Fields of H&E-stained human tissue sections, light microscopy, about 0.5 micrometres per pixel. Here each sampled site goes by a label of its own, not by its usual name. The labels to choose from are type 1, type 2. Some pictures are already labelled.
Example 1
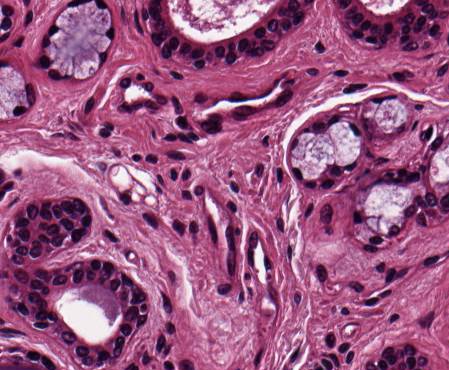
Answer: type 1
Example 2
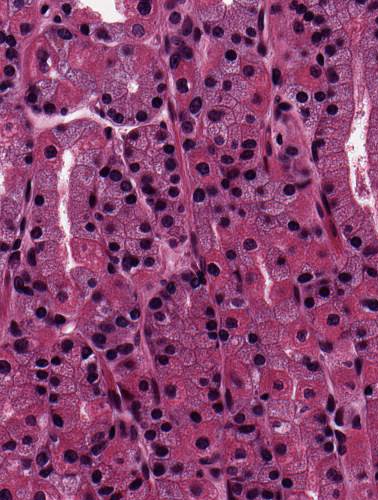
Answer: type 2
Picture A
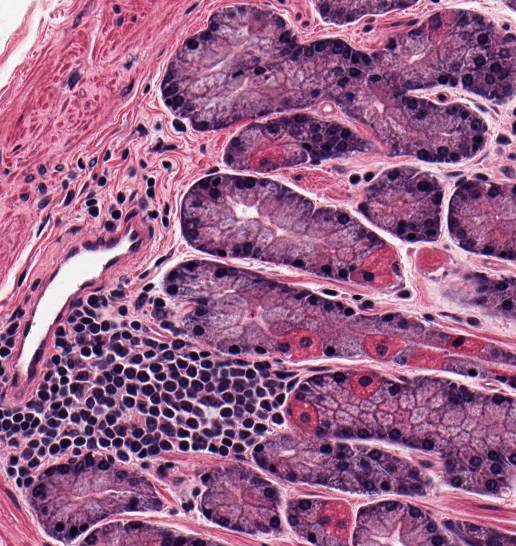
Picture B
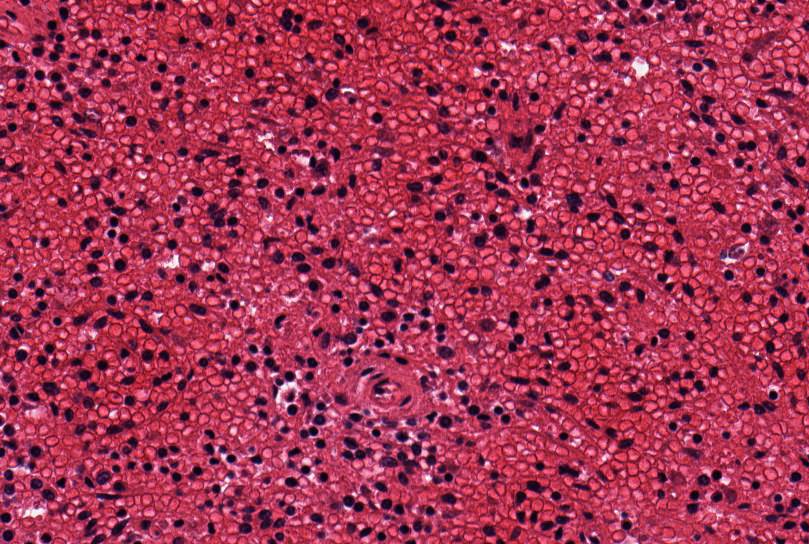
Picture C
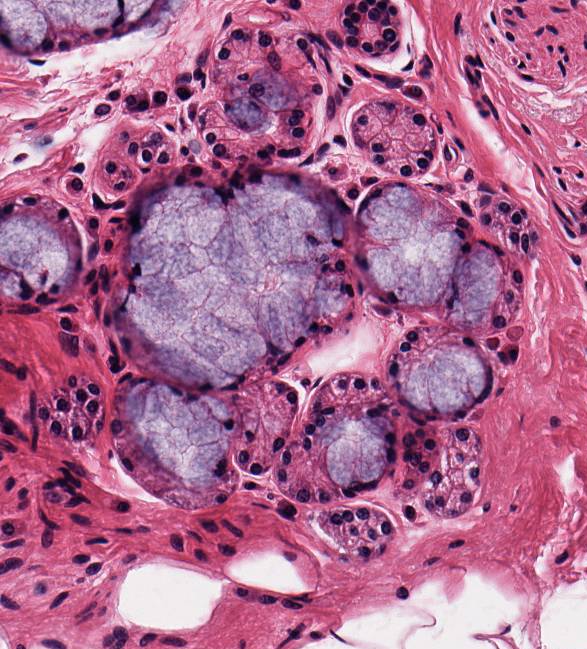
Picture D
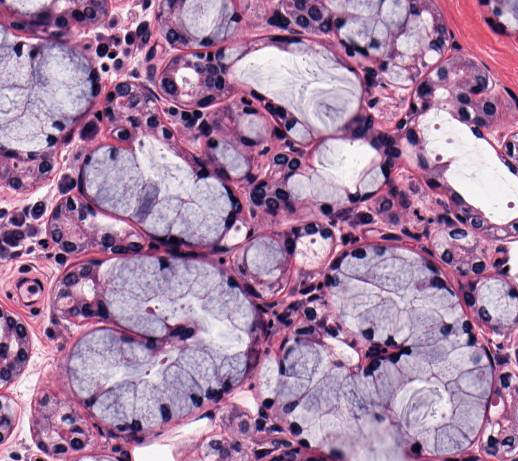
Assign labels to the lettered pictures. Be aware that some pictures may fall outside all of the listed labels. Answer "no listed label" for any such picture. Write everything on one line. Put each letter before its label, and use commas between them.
A type 2, B no listed label, C type 1, D type 1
